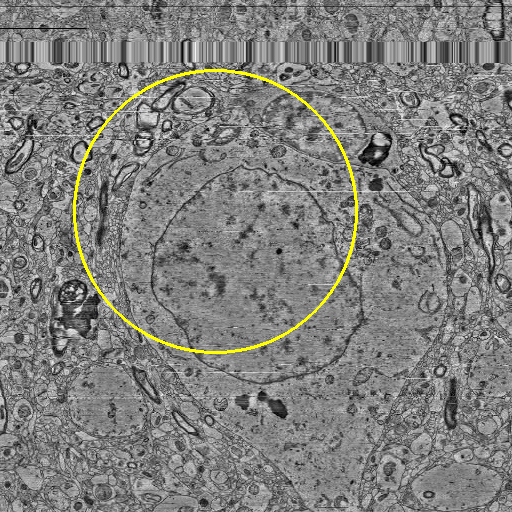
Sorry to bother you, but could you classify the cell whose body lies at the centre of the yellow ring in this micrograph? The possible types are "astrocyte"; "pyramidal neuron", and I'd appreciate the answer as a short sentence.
The ringed cell body is that of a pyramidal neuron.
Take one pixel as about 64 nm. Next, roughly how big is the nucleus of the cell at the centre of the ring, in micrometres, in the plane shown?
The nucleus appears about 14 micrometres across in this plane.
